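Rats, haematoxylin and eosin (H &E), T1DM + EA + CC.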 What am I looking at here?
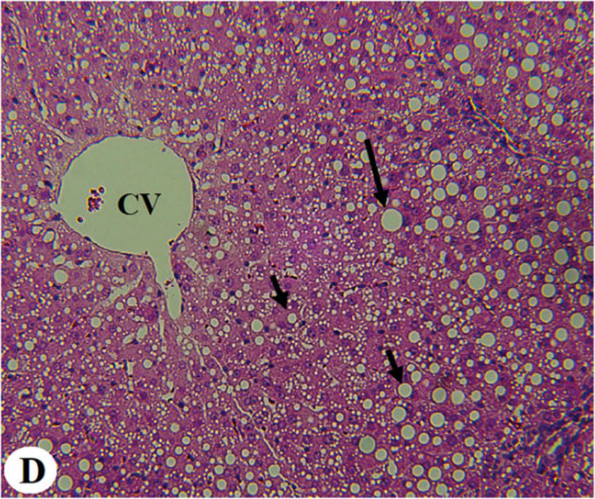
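Liver tissue around a large, dilated central vessel in which hepatocytes are crowded with round, clear cytoplasmic lipid droplets. The droplets range from small to large, are sharply outlined and unstained, and lie scattered throughout the purple-pink cytoplasm. Cords radiating from the vessel are hard to make out where droplets are densest. A few red blood cells lie inside the vessel lumen.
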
